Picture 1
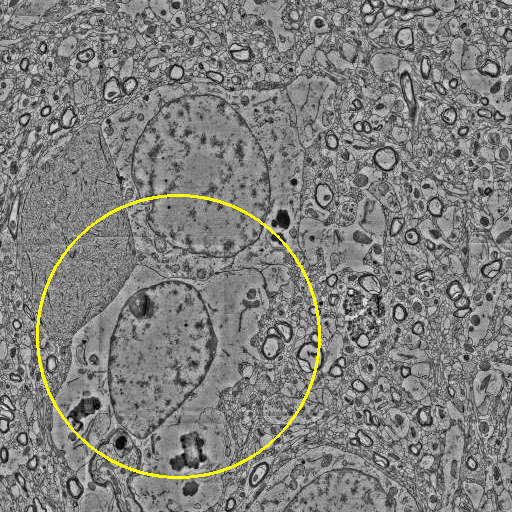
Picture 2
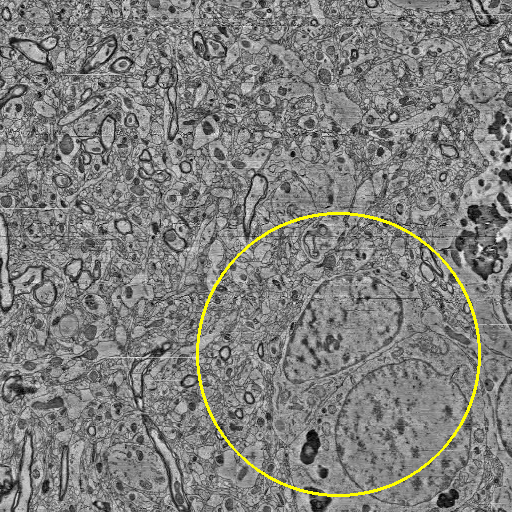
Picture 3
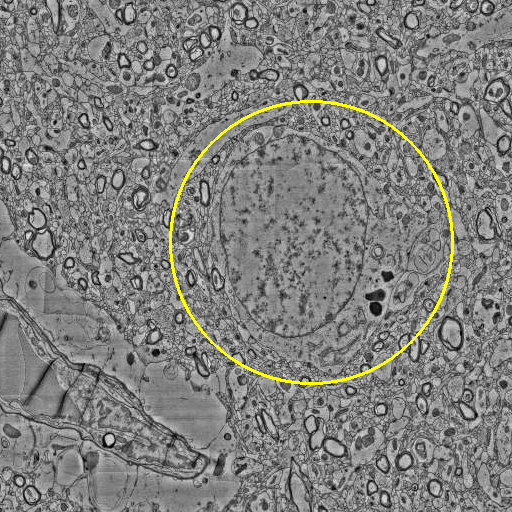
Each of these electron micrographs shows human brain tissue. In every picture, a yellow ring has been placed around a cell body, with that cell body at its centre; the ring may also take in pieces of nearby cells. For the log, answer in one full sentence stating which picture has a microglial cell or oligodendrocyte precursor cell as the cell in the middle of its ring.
In picture 2, the cell at the centre of the yellow ring is the requested one.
